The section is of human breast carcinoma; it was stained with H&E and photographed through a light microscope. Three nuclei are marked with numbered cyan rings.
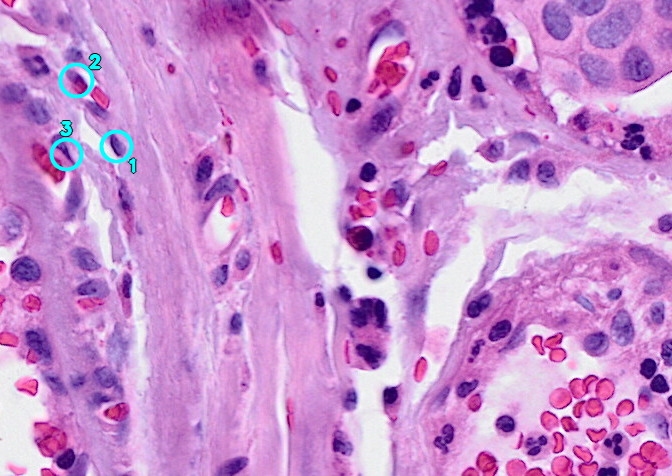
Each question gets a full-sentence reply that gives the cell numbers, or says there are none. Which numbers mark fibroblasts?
Only the cell at mark 1 is a fibroblast, and no other marked cell is.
